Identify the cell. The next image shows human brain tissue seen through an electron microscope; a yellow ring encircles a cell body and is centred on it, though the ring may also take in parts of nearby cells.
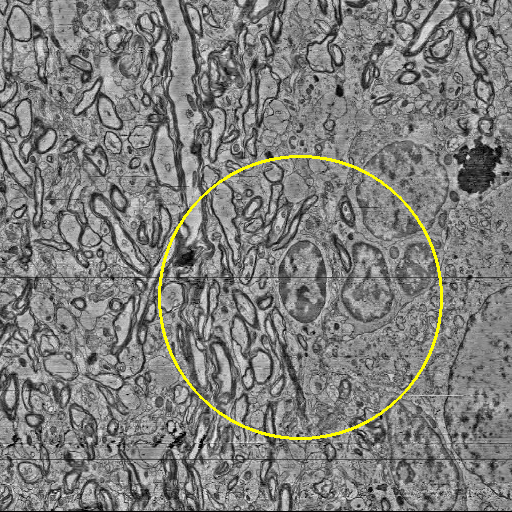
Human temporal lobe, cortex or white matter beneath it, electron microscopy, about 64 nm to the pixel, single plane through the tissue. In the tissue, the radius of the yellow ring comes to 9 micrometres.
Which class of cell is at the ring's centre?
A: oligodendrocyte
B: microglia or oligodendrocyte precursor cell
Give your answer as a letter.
B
